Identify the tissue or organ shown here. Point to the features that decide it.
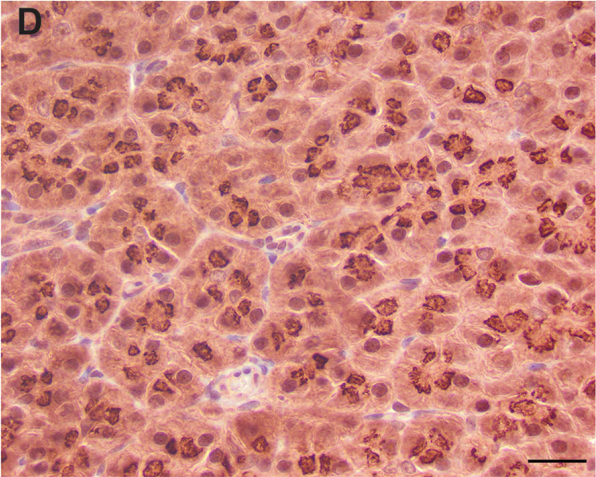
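Cells grouped in small acini around tiny central lumina. Dark granular clusters at the apical poles of the acini.
Answer: pancreatic epithelium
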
